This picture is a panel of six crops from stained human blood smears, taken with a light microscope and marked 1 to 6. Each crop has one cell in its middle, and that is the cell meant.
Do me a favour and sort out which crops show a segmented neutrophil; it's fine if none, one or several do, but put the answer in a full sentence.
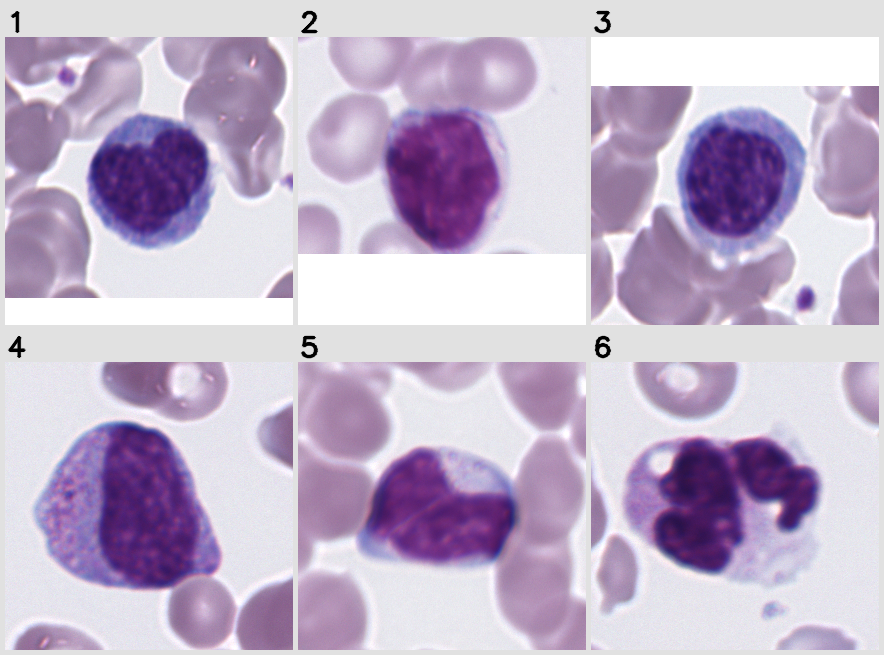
A single crop, crop 6, contains a segmented neutrophil.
